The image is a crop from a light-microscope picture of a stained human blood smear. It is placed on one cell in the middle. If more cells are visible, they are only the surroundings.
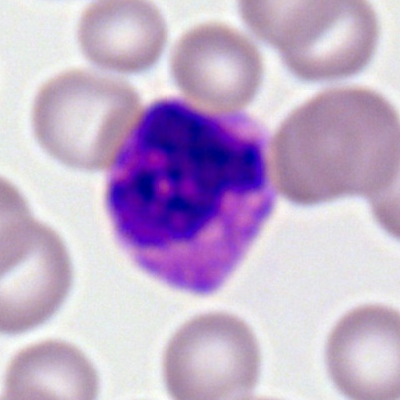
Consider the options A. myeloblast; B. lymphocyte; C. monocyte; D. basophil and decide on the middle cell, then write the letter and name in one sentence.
Identification: the cell in the middle is a basophil, matching option D.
